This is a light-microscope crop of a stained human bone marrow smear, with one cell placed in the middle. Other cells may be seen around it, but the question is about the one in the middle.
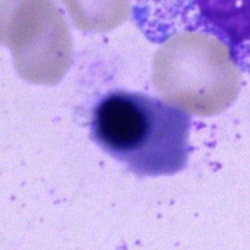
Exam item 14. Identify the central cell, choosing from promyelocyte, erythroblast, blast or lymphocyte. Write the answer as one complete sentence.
Present in the middle of the crop is an erythroblast.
